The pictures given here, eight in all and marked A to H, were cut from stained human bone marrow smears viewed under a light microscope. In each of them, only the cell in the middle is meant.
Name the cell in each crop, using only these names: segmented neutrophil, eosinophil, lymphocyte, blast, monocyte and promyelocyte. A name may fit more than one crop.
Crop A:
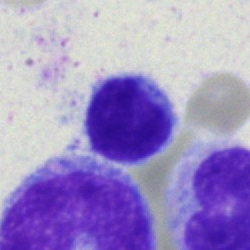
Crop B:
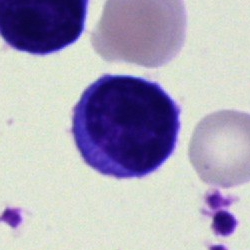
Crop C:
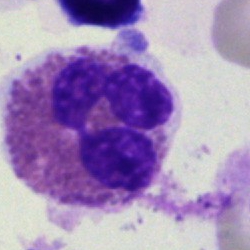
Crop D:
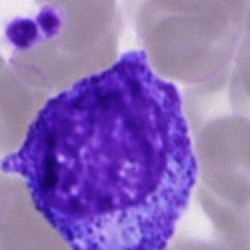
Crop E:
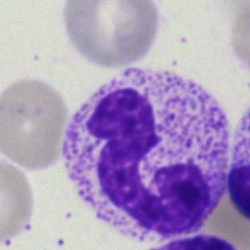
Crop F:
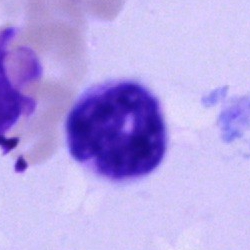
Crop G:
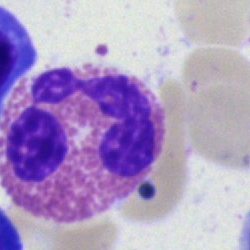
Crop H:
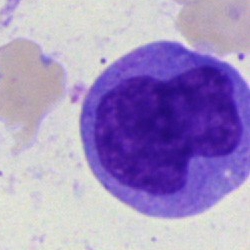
A: lymphocyte
B: lymphocyte
C: eosinophil
D: promyelocyte
E: segmented neutrophil
F: segmented neutrophil
G: eosinophil
H: monocyte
